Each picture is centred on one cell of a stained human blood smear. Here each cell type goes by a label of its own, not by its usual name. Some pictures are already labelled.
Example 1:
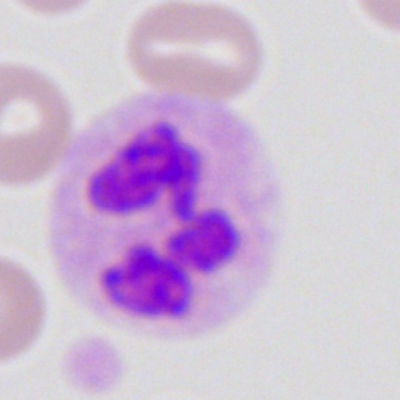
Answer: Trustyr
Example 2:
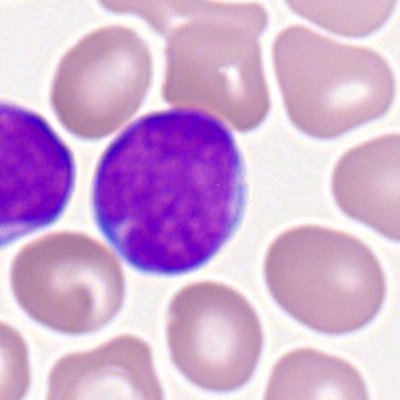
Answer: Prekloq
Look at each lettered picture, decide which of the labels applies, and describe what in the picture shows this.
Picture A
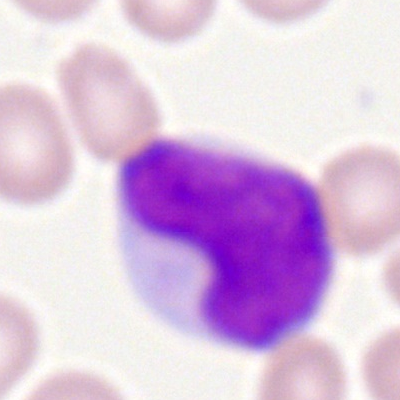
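Prekloq: The nucleus is indented on its lower-left side, giving it a bean shape.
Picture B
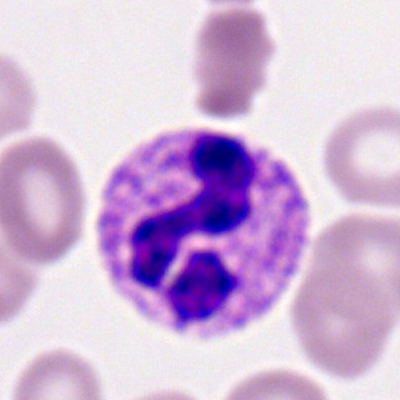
Trustyr: The cytoplasm is abundant and pale pinkish-lilac.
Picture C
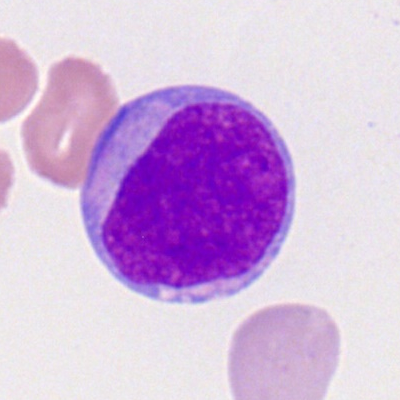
Prekloq: The cytoplasm is blue.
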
